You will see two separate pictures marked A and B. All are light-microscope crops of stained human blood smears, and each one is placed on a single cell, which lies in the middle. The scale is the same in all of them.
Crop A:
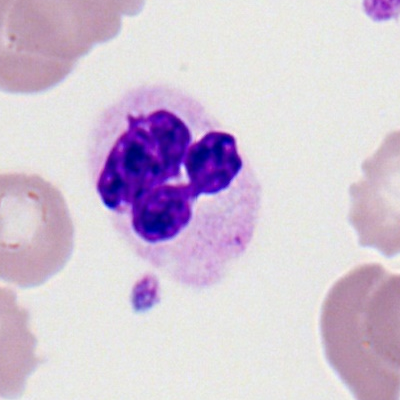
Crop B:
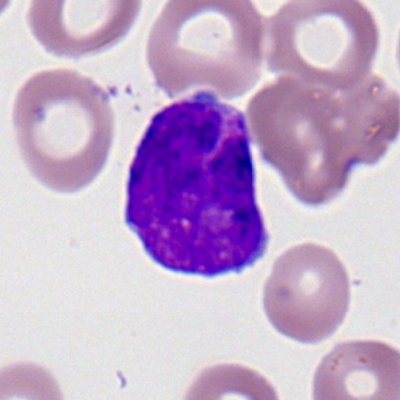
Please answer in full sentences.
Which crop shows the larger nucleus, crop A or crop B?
Crop B shows the larger nucleus; it covers about 1.5 times the area of the nucleus in crop A.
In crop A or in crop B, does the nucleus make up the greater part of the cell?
It is the cell in crop B that is filled more by its nucleus.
